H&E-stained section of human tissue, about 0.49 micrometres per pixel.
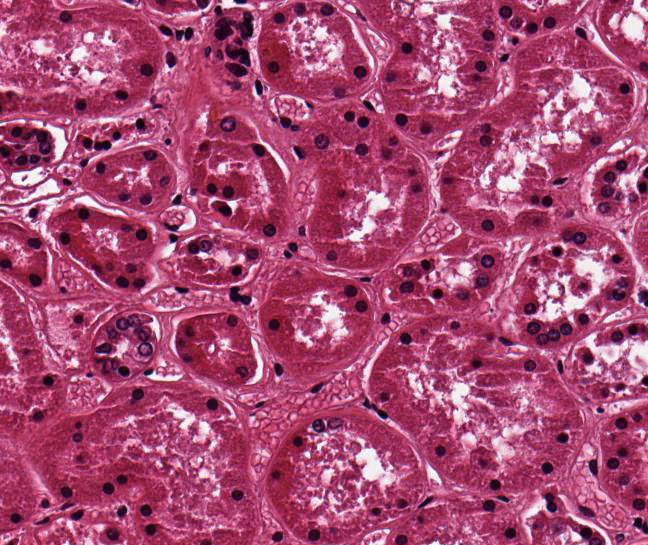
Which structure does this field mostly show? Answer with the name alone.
cortical labyrinth of the kidney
